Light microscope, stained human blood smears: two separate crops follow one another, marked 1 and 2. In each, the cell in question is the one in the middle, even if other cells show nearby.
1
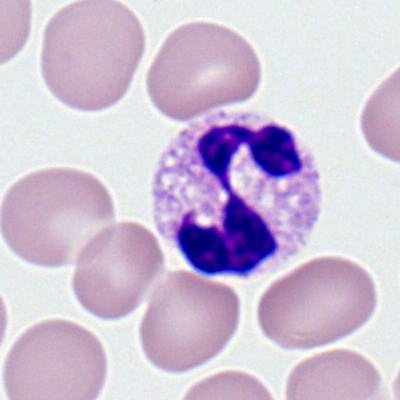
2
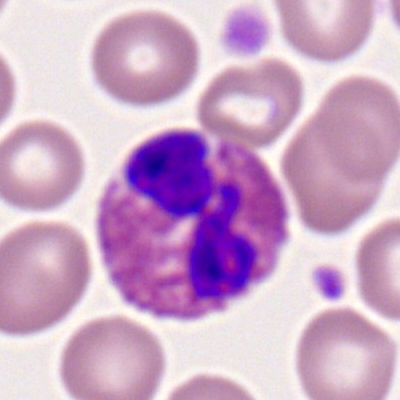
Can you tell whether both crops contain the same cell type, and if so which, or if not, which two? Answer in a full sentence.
No, a neutrophil and an eosinophil are found in crop 1 and crop 2, respectively.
